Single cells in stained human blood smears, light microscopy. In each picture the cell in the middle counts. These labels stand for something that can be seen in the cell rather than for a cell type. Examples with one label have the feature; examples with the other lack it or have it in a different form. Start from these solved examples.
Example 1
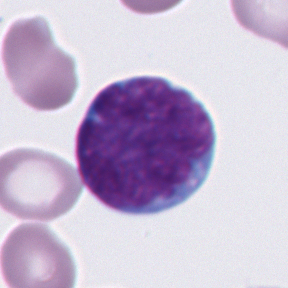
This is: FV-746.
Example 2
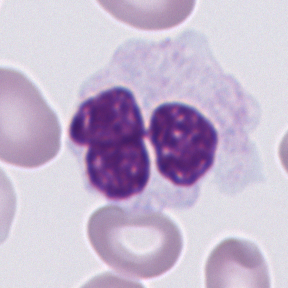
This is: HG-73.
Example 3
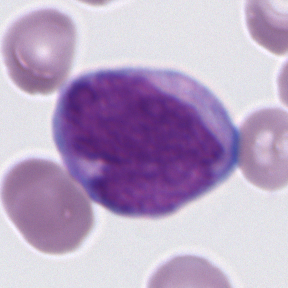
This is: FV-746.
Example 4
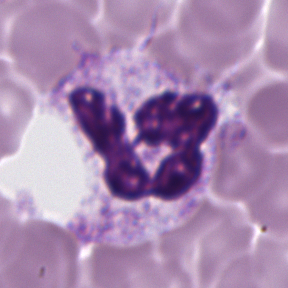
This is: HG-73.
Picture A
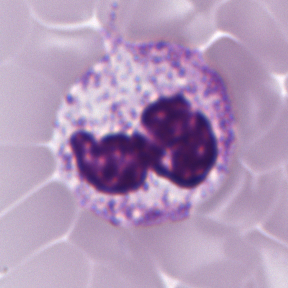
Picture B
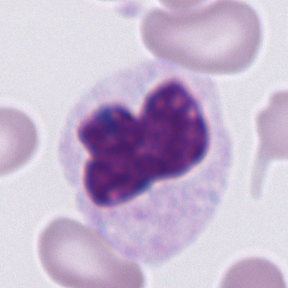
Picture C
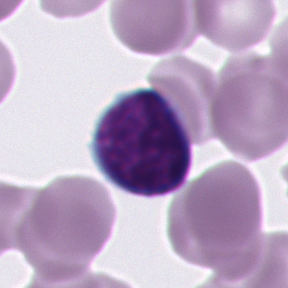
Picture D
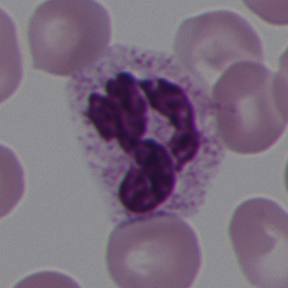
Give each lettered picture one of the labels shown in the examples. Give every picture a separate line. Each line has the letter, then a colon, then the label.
A: HG-73.
B: FV-746.
C: FV-746.
D: HG-73.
